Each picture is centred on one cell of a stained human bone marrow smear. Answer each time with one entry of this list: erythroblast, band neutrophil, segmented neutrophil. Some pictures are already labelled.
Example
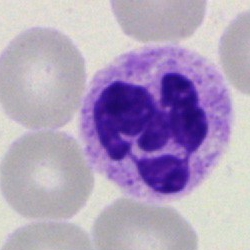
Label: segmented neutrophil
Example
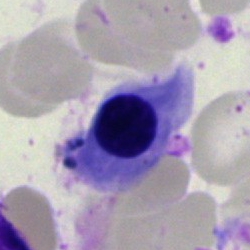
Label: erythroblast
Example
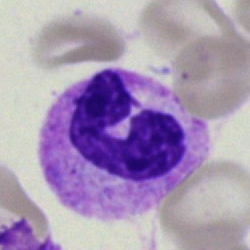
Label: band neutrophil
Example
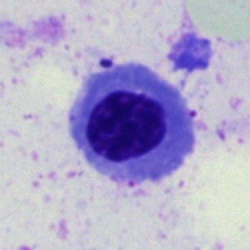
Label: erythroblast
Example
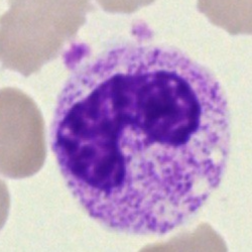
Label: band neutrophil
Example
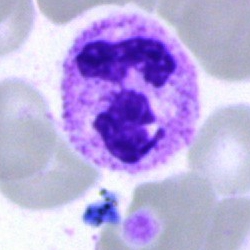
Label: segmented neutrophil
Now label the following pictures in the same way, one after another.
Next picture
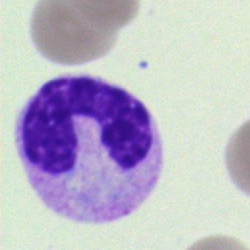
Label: band neutrophil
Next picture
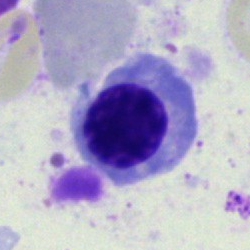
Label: erythroblast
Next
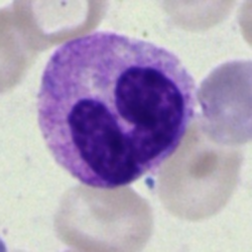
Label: segmented neutrophil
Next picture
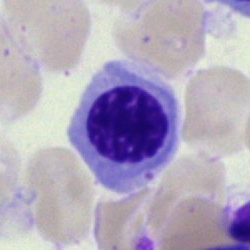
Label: erythroblast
